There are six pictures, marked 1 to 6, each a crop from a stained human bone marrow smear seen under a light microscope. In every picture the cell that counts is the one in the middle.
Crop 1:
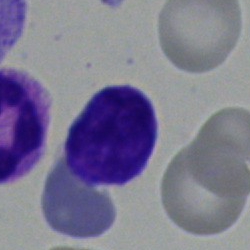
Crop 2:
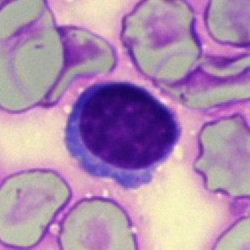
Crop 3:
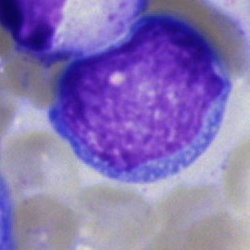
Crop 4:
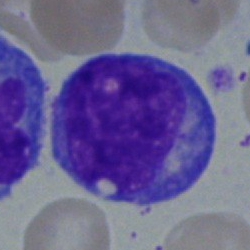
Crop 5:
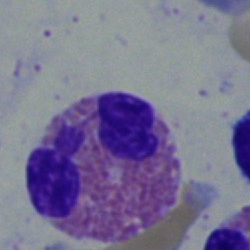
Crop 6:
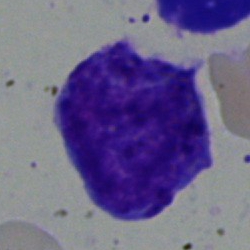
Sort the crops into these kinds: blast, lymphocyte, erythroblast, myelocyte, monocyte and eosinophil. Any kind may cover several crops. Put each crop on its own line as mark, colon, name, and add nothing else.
1: lymphocyte
2: lymphocyte
3: blast
4: blast
5: eosinophil
6: blast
